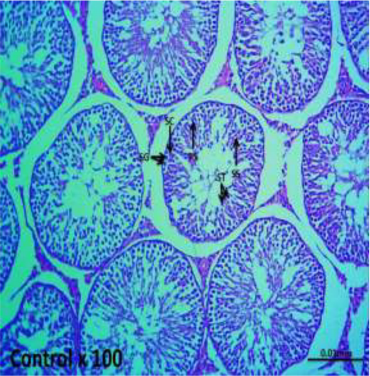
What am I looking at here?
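Cross-sections of testicular tubules crowd the field, each lined by a thick, many-layered epithelium of spermatogenic cells with purple nuclei. The cells are arranged in rows from the basal rim toward a central lumen, where paler, fibrous material lies.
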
